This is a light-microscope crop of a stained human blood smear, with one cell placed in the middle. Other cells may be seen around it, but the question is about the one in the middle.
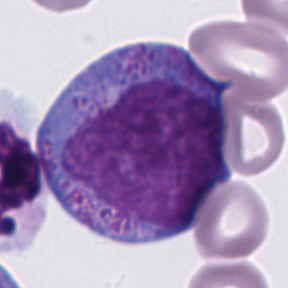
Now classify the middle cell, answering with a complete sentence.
The cell around which this crop is centred is a promyelocyte.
